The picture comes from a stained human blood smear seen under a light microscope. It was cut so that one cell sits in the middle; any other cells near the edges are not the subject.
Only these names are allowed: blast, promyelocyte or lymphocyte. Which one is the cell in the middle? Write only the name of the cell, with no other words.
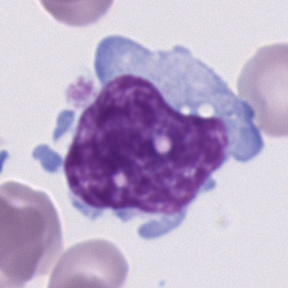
blast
